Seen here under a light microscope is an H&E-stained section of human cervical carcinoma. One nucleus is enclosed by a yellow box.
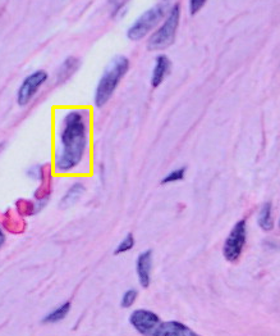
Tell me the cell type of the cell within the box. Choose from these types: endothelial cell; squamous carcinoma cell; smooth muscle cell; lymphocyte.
endothelial cell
